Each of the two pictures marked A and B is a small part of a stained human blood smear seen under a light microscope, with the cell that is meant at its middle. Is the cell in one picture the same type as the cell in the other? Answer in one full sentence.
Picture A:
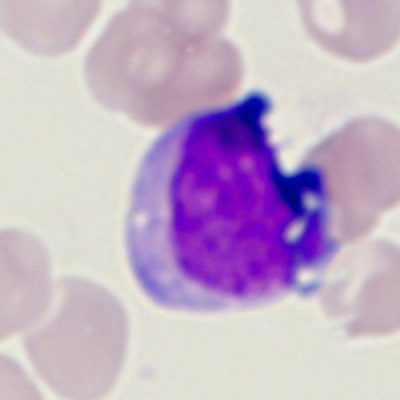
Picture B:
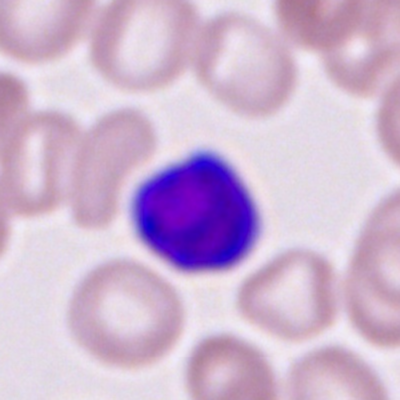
No, picture A shows a myeloblast and picture B shows a lymphocyte.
